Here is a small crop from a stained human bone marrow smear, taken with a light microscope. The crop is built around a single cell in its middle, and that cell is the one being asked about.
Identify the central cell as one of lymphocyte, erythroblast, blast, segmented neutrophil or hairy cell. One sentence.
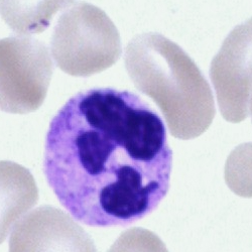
The centrally placed cell is classified as a segmented neutrophil.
